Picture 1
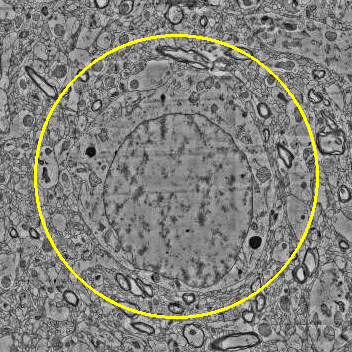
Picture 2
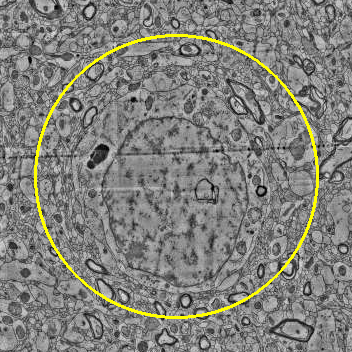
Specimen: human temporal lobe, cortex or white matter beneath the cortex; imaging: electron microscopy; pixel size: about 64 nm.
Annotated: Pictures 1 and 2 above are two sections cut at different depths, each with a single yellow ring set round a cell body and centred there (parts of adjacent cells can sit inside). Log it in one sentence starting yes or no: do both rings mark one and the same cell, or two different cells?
Yes, one cell appears twice, once in each ring.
